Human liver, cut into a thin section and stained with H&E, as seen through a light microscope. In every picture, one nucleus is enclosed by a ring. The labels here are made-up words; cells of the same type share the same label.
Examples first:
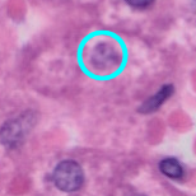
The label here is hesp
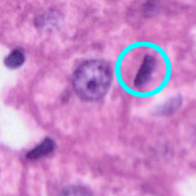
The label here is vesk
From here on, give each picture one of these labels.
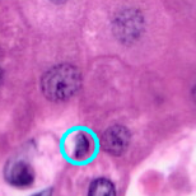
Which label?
vesk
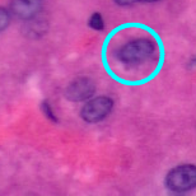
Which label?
hesp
